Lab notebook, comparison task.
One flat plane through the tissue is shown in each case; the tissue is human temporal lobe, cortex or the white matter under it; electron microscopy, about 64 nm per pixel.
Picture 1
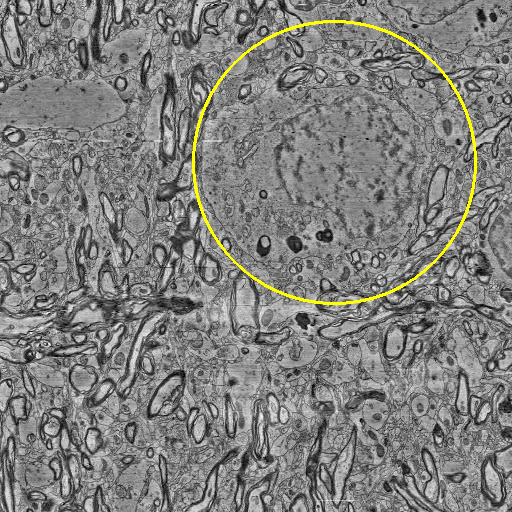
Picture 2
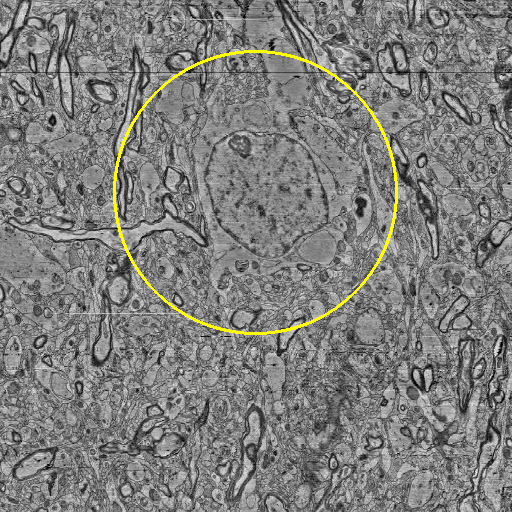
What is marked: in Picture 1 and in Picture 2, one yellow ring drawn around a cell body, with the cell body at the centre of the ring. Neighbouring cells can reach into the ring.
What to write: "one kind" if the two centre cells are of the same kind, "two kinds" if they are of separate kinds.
two kinds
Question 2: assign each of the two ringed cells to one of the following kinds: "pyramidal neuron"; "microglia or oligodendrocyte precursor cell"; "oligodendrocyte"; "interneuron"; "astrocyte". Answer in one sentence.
The two cells are an interneuron in the first picture and an astrocyte in the second.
